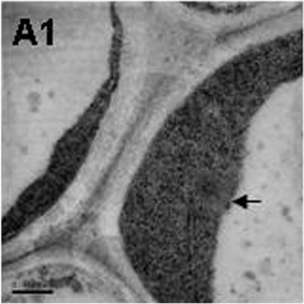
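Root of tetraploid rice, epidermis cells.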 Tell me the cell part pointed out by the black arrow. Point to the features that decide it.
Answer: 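A thick dark granular layer fills the cell along its wall. Pale cell walls separate neighbouring cells. So: abundant cytoplasm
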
